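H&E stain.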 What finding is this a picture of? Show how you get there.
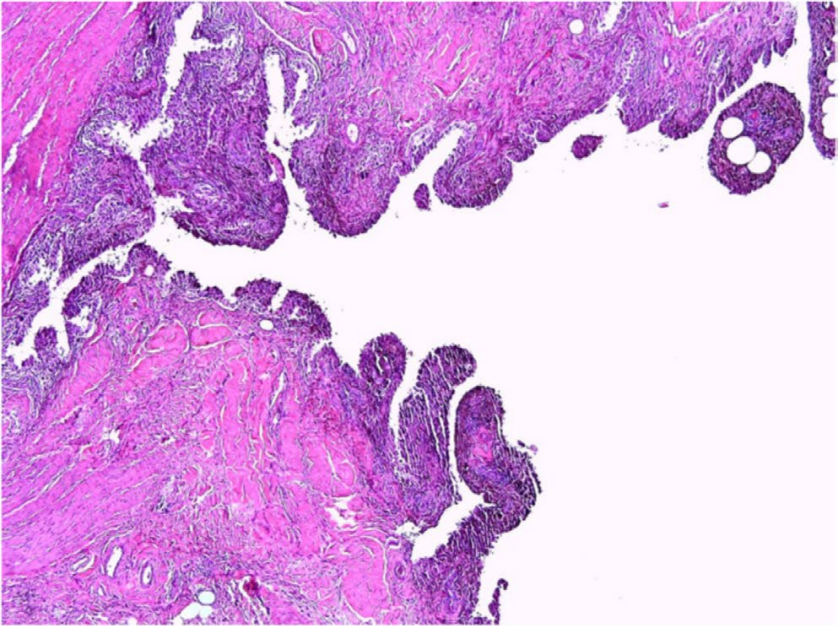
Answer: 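The surface is thrown into many finger-like folds projecting into an empty space. The folds have a densely cellular, dark purple lining and cores. Pink fibrous tissue lies beneath the folded surface. That points to this answer: hyperplastic synovium with villous papillary projections.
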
